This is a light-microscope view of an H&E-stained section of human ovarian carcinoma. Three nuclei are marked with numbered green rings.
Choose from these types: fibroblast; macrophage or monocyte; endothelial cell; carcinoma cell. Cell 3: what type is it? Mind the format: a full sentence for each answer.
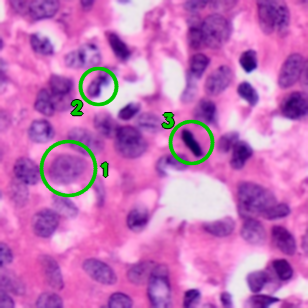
The cell indicated by marker 3 is a carcinoma cell in this section.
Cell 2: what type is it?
The marked nucleus 2 is that of a macrophage or monocyte.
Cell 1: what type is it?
The cell that goes by number 1 is a carcinoma cell.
